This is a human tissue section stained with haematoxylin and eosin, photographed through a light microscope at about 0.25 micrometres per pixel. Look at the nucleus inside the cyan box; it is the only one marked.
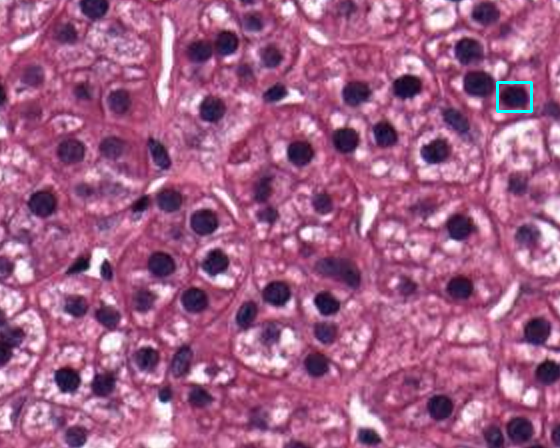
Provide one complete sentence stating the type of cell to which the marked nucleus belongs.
Located in an adrenal cortical cell is the marked nucleus.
